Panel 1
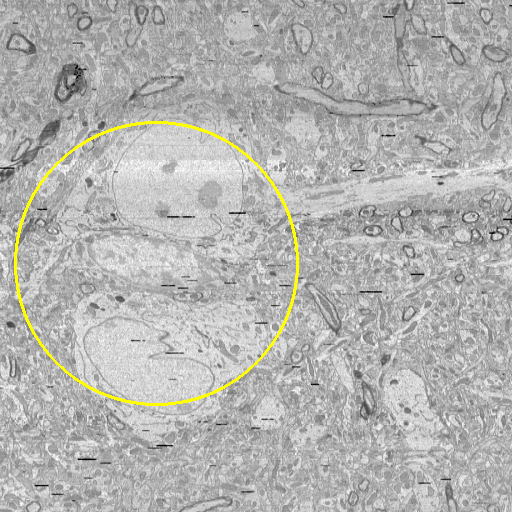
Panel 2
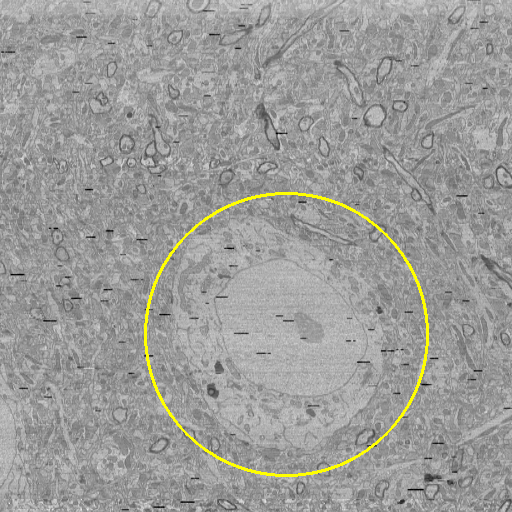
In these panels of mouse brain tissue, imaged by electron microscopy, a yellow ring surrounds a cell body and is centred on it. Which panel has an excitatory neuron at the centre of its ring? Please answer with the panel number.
2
